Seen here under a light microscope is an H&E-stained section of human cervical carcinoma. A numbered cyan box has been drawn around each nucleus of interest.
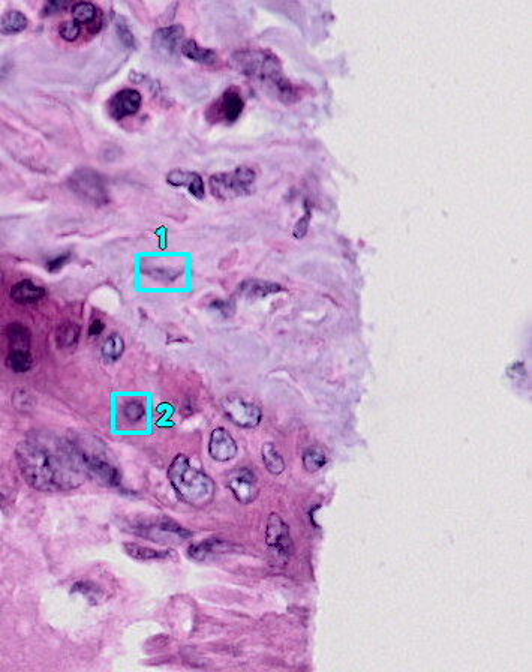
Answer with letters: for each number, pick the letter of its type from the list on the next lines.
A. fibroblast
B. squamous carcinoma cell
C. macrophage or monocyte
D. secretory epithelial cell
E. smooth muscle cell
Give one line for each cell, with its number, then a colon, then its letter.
1: A
2: E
